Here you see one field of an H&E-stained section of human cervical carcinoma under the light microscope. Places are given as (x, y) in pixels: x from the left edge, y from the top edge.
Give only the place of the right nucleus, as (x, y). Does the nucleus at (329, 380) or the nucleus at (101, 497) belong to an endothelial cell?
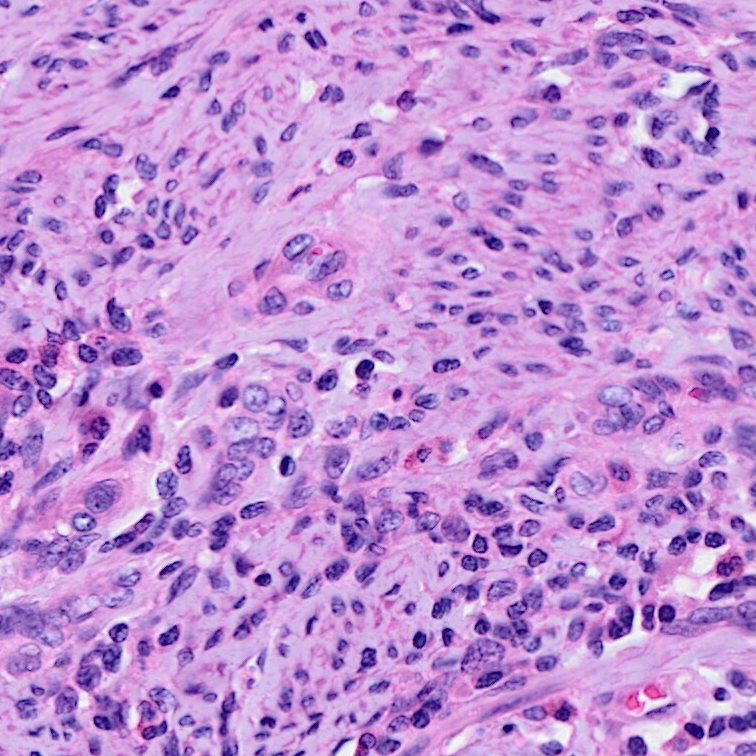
(101, 497)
